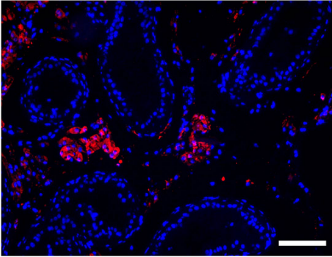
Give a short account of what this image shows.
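The tubules appear as round and oval profiles whose walls are lined by a thin ring of blue nuclei, leaving a largely dark centre. Between the tubules, compact clusters of red cells stand out, each cell with a blue nucleus inside brightly red cytoplasm. Scattered smaller red cells also lie along the spaces between tubule profiles. No red signal is seen within the tubules themselves.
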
